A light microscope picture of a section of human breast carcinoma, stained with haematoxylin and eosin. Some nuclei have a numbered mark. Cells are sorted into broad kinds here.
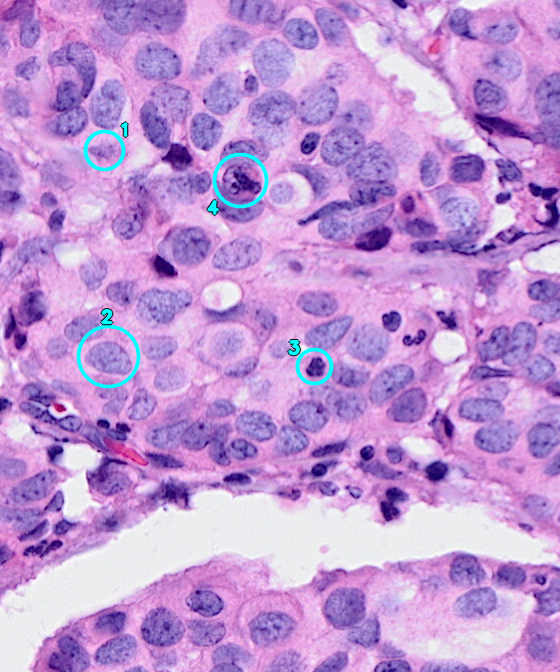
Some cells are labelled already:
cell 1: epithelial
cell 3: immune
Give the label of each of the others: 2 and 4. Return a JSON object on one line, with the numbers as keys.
{"2": "epithelial", "4": "epithelial"}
